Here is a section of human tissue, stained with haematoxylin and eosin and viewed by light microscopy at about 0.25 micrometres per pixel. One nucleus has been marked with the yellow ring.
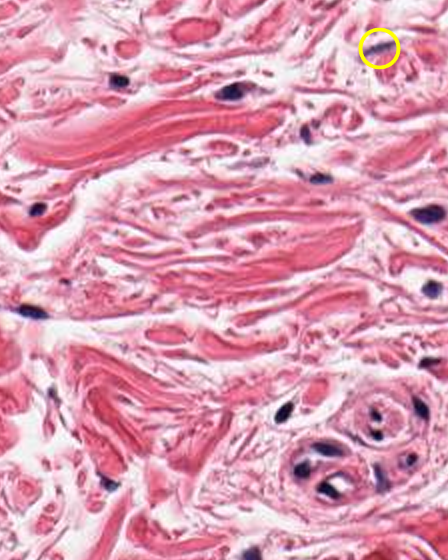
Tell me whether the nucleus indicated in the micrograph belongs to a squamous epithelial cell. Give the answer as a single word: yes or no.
no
